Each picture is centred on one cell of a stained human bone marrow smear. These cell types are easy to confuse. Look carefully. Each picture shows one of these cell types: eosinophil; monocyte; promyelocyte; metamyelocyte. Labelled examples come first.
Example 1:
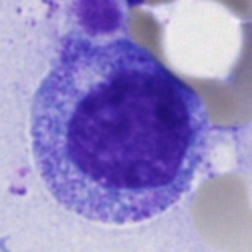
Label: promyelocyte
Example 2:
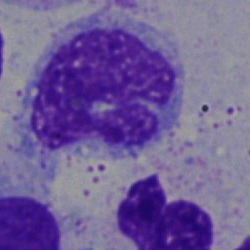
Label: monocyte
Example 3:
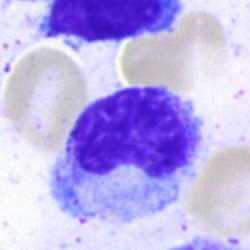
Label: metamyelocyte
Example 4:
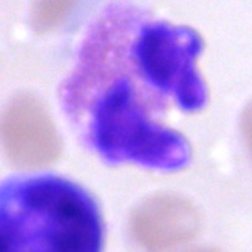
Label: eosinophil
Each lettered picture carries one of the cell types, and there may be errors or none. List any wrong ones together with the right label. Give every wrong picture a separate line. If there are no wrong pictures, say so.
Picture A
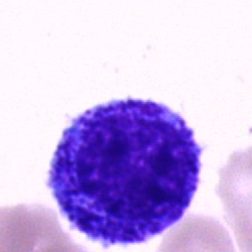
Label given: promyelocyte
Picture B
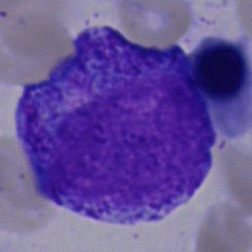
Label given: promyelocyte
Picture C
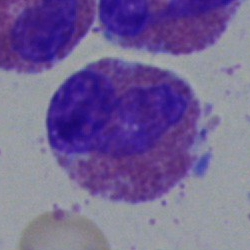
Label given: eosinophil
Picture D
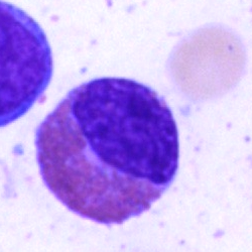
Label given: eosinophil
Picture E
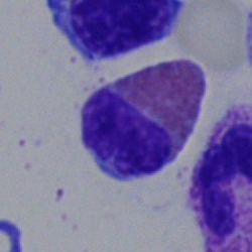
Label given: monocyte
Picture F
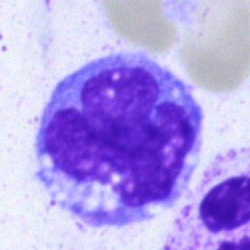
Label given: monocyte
E is labelled monocyte; correct label: eosinophil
